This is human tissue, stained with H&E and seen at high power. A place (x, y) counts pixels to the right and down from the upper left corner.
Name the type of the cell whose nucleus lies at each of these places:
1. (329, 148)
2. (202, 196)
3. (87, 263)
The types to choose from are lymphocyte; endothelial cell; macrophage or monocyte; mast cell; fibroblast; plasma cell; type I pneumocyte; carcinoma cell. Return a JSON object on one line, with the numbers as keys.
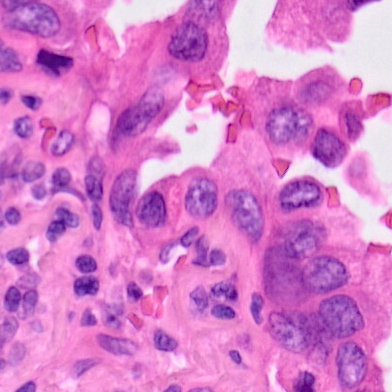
{"1": "carcinoma cell", "2": "carcinoma cell", "3": "lymphocyte"}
